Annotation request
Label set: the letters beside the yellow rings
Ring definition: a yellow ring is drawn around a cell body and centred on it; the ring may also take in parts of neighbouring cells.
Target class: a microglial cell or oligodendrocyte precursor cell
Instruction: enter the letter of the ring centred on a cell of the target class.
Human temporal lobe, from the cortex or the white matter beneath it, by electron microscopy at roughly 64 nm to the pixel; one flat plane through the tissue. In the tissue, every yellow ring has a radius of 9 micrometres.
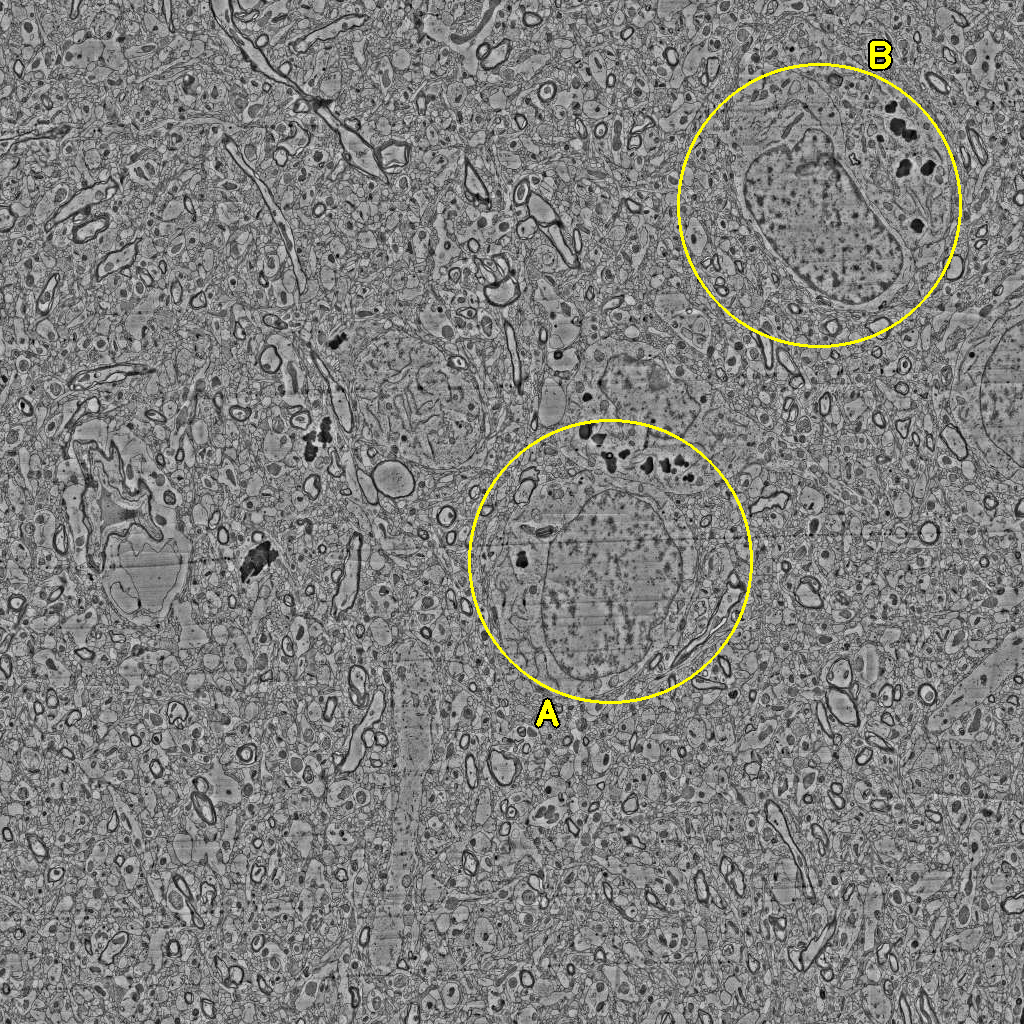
B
